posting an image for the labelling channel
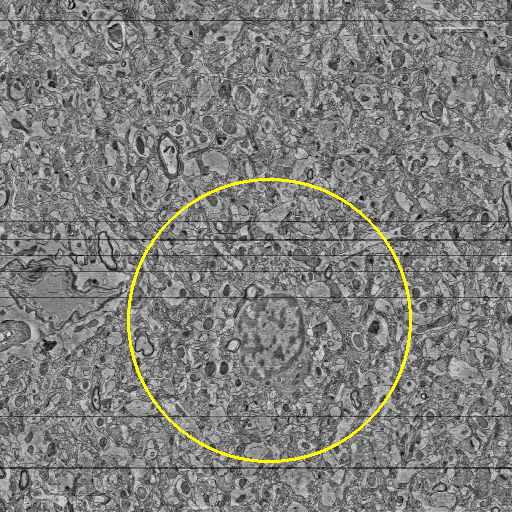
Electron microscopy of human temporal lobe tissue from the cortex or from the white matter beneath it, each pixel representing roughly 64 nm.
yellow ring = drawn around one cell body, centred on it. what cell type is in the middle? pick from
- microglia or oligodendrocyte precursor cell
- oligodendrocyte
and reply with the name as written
oligodendrocyte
